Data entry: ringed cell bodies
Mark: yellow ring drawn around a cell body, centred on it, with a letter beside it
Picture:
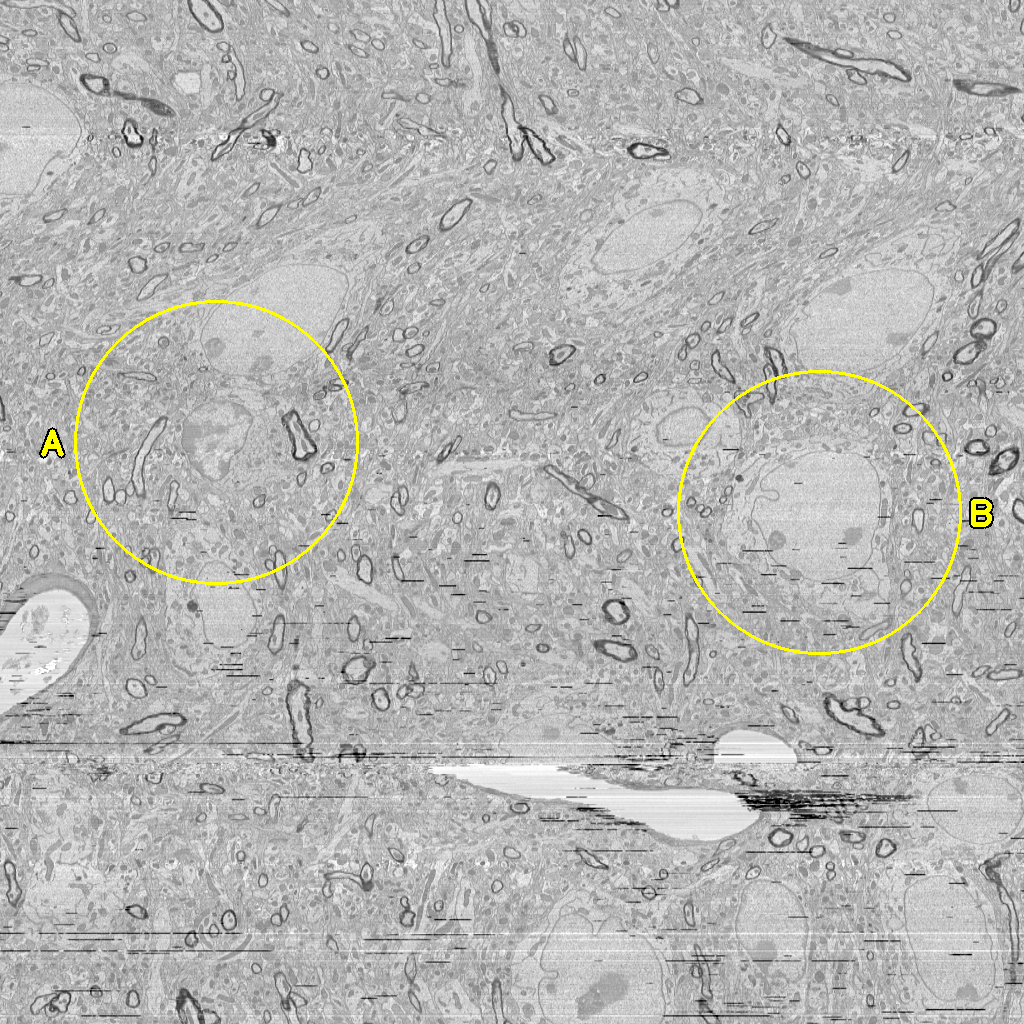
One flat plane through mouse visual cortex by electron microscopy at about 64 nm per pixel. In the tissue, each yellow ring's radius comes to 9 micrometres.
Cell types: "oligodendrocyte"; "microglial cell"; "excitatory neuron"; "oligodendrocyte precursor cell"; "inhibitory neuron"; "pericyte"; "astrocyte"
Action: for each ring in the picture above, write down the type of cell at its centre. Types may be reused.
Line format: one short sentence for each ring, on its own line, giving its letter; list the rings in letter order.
For ring A, the cell at the centre is an oligodendrocyte.
For ring B, the cell at the centre is an excitatory neuron.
